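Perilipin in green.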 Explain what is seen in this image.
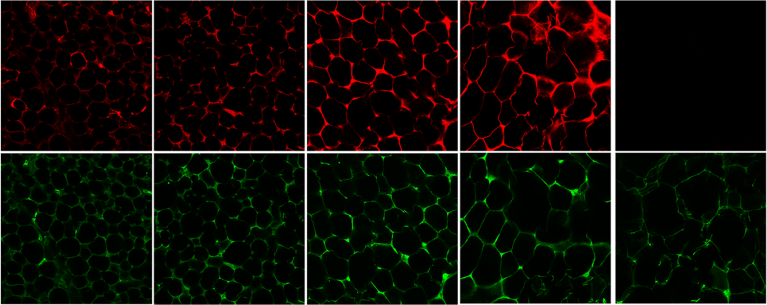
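This is fat tissue made of large, closely packed fat cells, each seen as a round to polygonal empty space bounded by a thin rim. The thin cell rims form a honeycomb-like network in green in every image, and the same rims are traced in red in the upper row except in the rightmost image, which stays dark. Across the row the spaces become larger, so the fat cells appear bigger toward the right.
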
